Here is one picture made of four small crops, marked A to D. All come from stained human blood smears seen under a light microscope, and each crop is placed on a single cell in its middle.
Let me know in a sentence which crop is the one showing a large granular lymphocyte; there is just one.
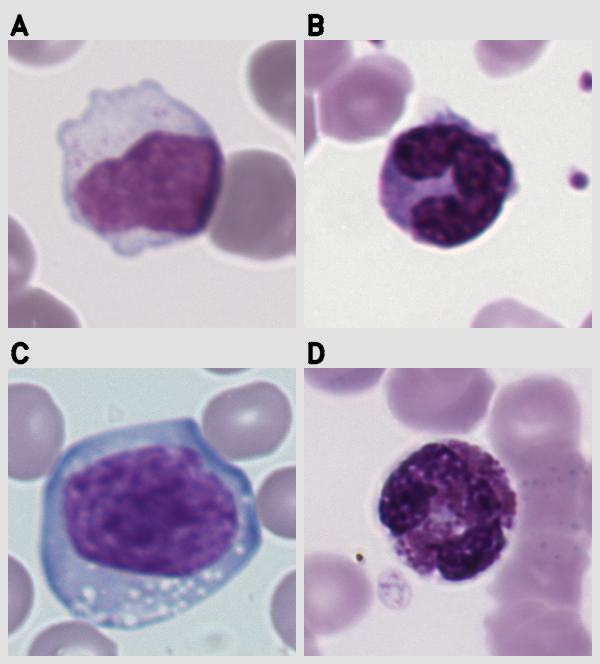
It is crop A that shows a large granular lymphocyte.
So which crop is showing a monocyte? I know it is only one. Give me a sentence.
Crop B alone, of all the crops, shows a monocyte.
